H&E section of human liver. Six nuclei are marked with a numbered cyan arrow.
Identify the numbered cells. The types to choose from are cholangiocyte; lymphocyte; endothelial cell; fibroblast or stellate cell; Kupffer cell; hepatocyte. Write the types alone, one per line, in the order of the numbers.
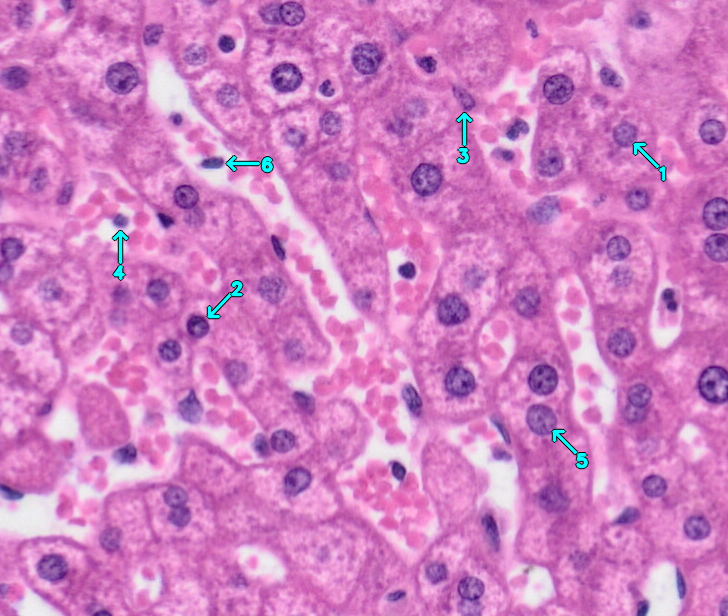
hepatocyte
hepatocyte
Kupffer cell
lymphocyte
hepatocyte
lymphocyte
